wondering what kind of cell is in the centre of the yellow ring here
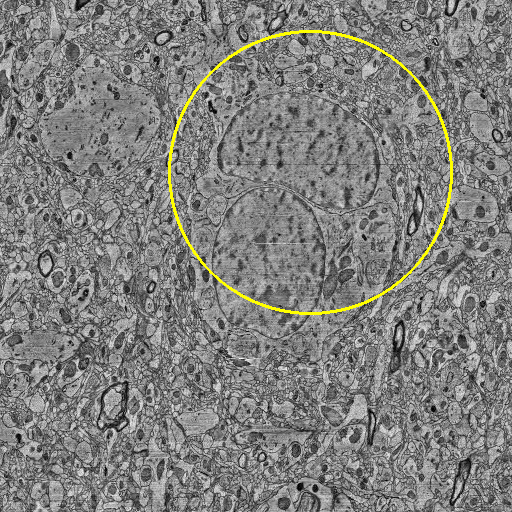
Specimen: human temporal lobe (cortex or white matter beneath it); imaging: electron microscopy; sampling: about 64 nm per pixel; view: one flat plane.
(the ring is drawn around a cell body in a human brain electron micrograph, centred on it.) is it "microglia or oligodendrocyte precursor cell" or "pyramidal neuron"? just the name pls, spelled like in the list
microglia or oligodendrocyte precursor cell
